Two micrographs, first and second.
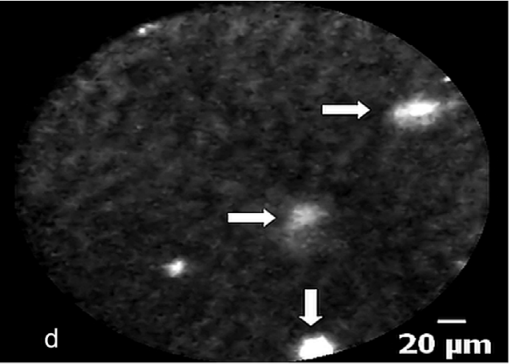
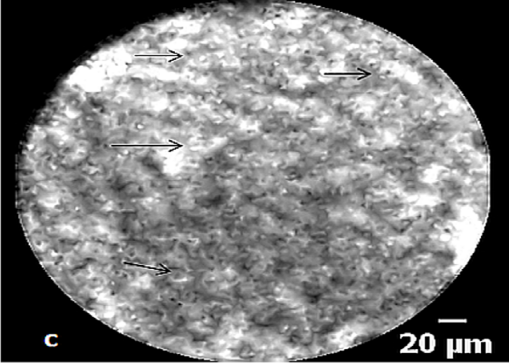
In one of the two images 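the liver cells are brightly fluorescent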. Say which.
The second image.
